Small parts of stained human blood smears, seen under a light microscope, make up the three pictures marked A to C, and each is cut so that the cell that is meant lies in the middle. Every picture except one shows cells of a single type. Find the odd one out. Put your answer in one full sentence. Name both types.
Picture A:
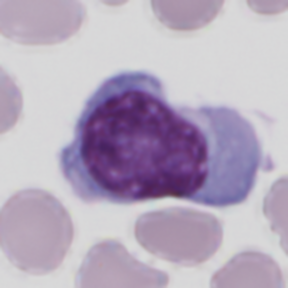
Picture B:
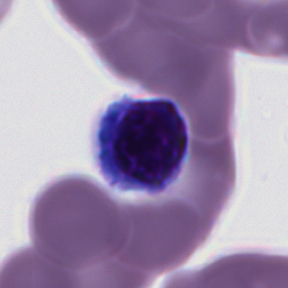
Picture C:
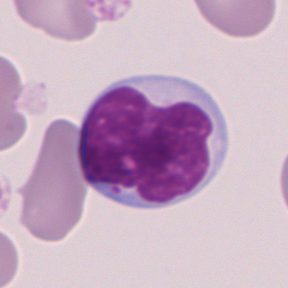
All pictures except C show plasma cells; picture C shows a typical lymphocyte.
